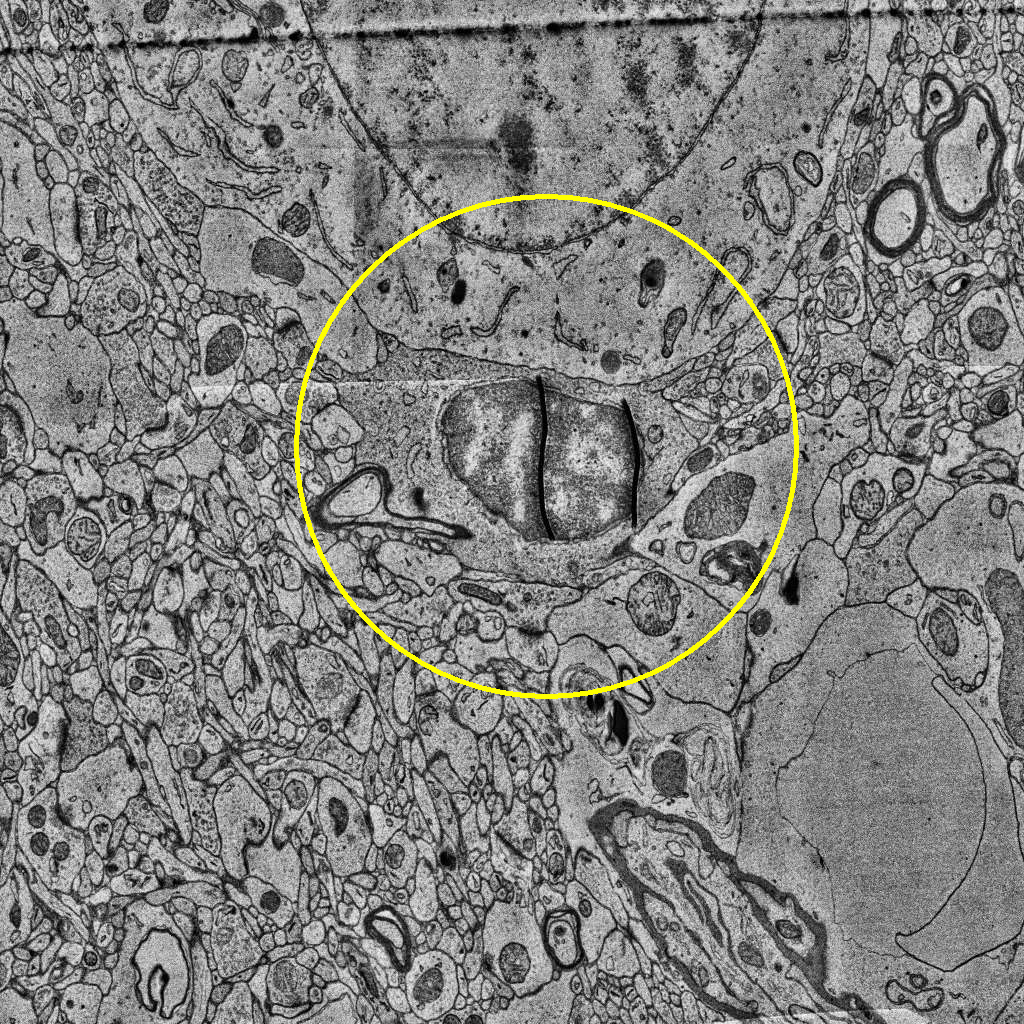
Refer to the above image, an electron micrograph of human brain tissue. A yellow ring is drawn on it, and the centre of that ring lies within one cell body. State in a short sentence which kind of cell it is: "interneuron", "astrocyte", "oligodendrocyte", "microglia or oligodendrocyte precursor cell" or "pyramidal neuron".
The centre of the ring falls on an oligodendrocyte.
